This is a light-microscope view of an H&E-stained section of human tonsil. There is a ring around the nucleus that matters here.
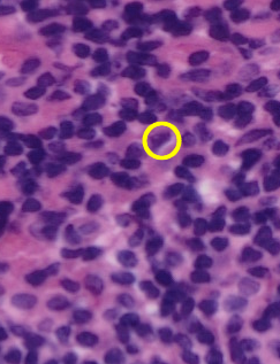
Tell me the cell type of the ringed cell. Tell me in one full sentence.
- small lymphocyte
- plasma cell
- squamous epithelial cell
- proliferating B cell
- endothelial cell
In this section of tissue, the ringed cell is an endothelial cell.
